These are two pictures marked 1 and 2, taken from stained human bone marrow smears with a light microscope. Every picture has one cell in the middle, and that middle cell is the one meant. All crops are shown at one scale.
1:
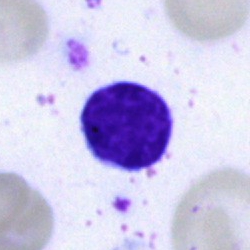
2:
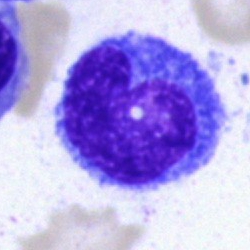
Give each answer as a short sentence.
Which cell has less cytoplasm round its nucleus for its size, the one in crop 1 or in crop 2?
Of the two, the nucleus in crop 1 makes up the greater part of its cell.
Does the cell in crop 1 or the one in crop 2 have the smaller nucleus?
The nucleus in crop 1 is smaller; the one in crop 2 has about 2 times its area.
